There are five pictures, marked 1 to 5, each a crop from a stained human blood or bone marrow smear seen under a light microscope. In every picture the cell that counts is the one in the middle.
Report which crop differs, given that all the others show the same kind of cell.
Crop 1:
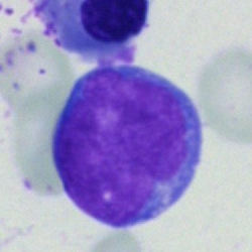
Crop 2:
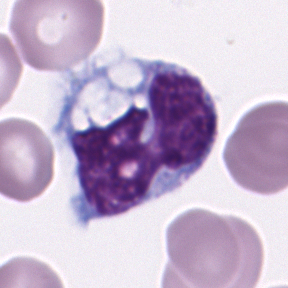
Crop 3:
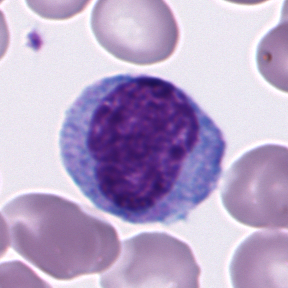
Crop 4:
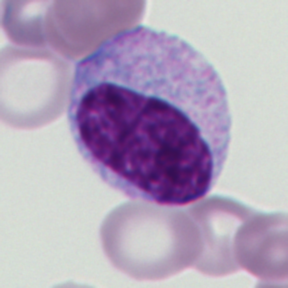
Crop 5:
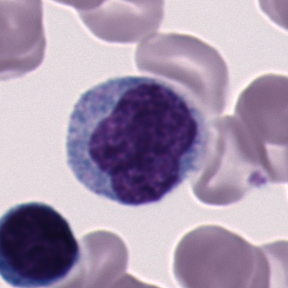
1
